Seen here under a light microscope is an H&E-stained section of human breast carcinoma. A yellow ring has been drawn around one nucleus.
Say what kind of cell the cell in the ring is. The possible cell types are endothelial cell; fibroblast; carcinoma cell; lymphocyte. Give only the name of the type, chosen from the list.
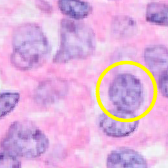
carcinoma cell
